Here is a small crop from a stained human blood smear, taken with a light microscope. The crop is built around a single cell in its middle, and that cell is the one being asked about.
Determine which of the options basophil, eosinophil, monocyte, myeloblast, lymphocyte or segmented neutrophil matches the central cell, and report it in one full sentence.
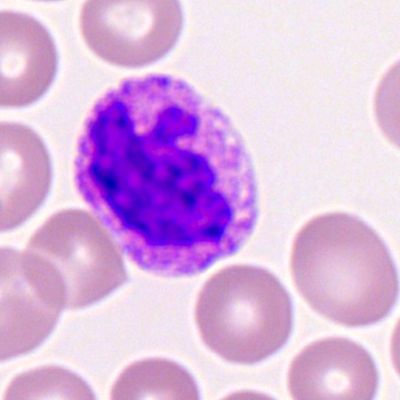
Here the centrally located cell is a basophil.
